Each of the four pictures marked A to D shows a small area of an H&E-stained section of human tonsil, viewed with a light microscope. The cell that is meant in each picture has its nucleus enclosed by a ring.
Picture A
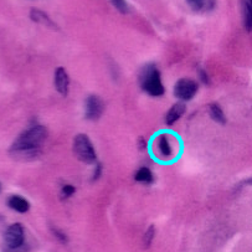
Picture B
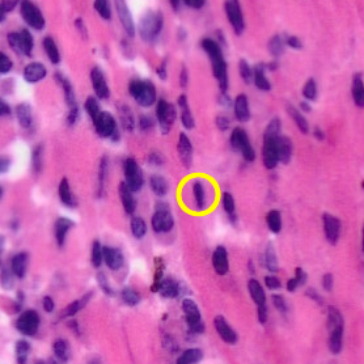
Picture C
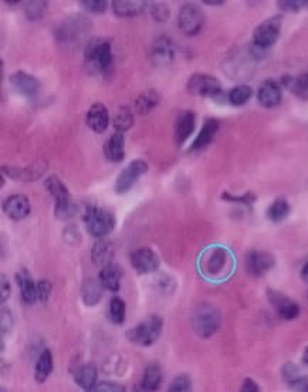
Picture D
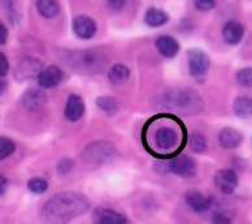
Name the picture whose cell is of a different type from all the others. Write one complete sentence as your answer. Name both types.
The different one is picture D; it shows a plasma cell, whereas all the others show mast cells.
